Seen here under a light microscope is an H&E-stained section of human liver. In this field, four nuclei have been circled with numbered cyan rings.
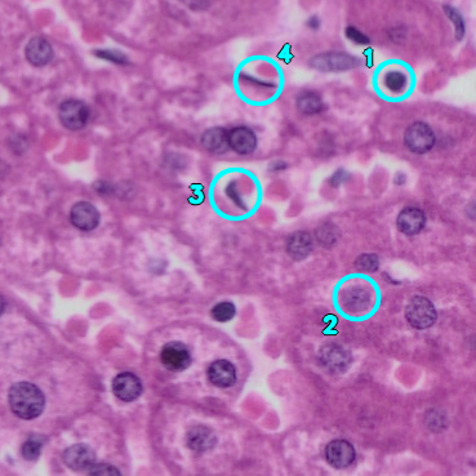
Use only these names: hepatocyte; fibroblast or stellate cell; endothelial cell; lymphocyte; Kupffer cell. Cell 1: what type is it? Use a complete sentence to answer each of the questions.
Corresponding to a lymphocyte is the cell labelled 1.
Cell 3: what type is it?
The cell numbered 3 represents an endothelial cell.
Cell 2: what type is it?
Regarding cell 2, this one is a hepatocyte.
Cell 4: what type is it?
Cell 4 is classified as an endothelial cell.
